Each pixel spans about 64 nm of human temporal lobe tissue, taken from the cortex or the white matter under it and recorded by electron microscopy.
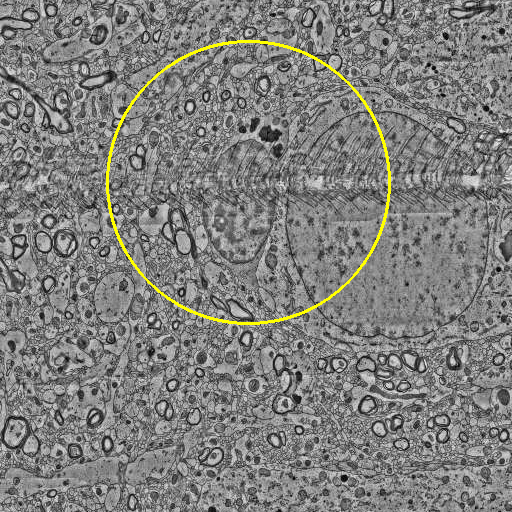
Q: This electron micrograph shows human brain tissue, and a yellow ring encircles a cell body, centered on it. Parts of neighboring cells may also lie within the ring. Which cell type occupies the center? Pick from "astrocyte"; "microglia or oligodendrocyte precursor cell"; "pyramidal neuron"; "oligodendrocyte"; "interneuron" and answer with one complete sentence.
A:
What sits at the ring's center in this micrograph is an oligodendrocyte, among those choices.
